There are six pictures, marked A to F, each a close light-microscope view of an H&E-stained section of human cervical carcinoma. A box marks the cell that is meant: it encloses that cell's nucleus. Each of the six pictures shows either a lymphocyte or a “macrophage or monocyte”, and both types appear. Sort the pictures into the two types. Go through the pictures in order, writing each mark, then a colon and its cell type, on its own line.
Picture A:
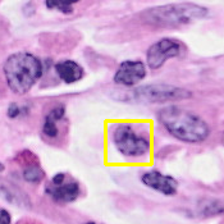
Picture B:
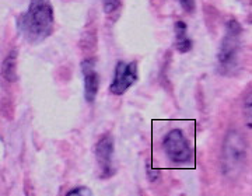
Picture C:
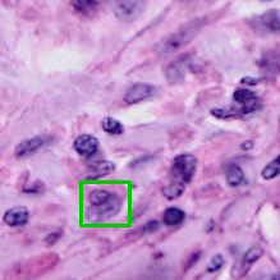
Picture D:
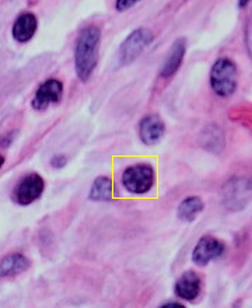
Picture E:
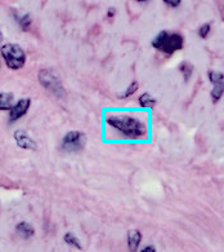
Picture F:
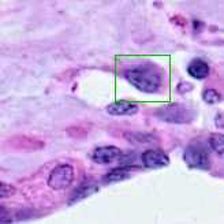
A: macrophage or monocyte
B: macrophage or monocyte
C: macrophage or monocyte
D: lymphocyte
E: lymphocyte
F: macrophage or monocyte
